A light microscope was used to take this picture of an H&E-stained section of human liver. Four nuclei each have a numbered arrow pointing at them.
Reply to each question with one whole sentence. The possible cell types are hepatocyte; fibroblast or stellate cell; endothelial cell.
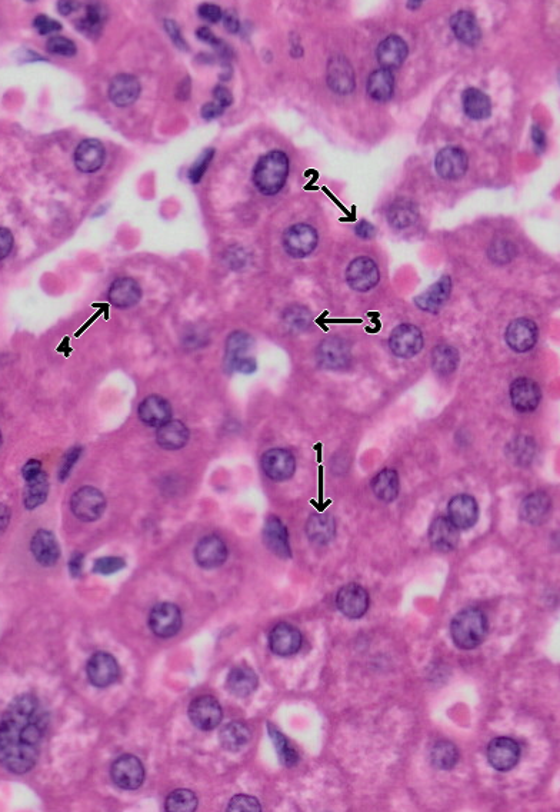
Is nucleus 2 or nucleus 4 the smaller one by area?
Nucleus 2 is the smaller one; nucleus 4 covers about 3 times its area.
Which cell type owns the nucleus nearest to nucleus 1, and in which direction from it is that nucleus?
It is a fibroblast or stellate cell, whose nucleus lies to the left of nucleus 1.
